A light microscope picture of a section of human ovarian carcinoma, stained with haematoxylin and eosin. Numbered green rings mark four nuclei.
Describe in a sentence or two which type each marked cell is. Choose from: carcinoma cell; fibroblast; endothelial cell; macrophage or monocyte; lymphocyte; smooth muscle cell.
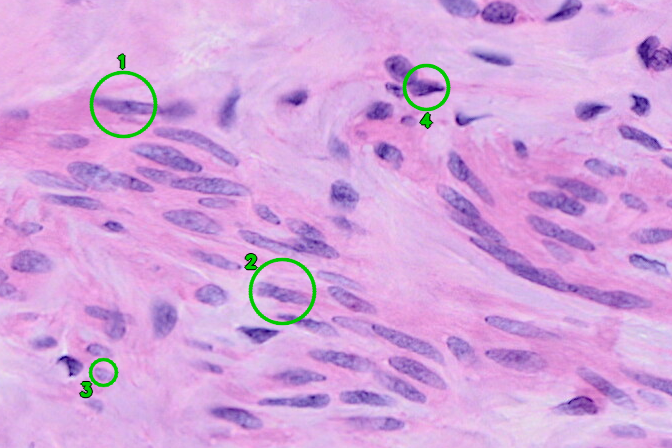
Cells 1, 2 and 3 are smooth muscle cells. Cell 4 is an endothelial cell.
